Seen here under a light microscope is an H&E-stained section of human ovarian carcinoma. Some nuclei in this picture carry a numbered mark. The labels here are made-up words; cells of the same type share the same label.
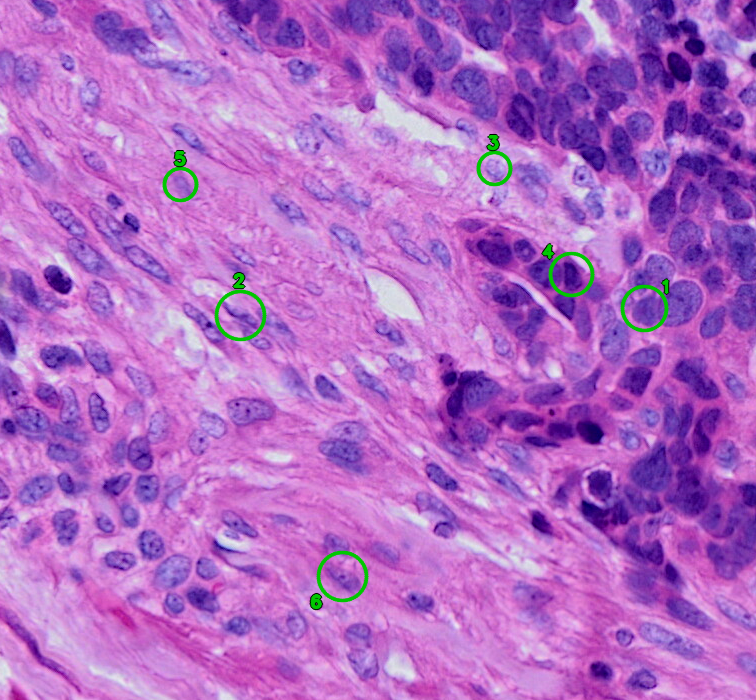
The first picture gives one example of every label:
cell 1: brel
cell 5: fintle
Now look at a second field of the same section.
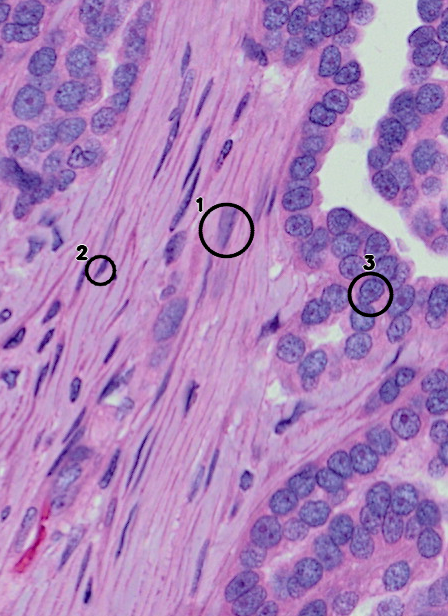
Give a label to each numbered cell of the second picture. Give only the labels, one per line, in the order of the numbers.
fintle
fintle
brel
